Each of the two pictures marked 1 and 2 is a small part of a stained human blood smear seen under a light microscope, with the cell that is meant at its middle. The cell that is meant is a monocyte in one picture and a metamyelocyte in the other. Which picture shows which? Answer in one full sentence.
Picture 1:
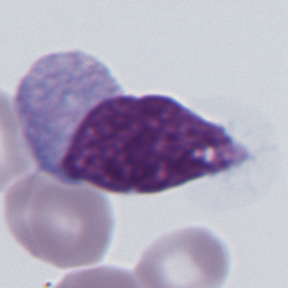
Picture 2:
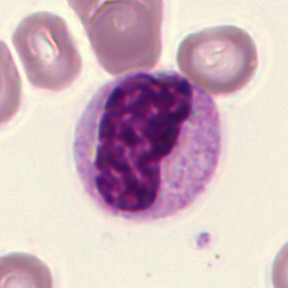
Picture 1 shows a monocyte and picture 2 shows a metamyelocyte.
